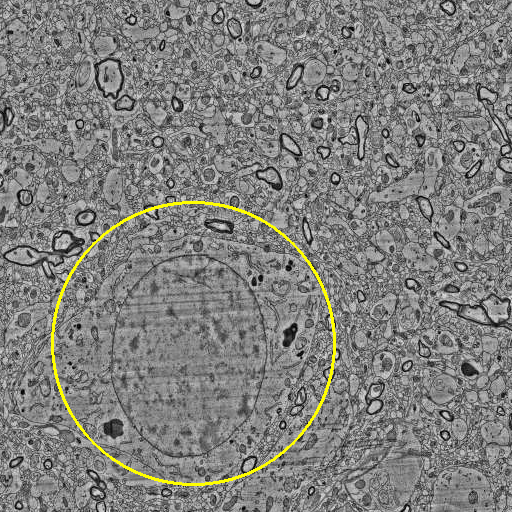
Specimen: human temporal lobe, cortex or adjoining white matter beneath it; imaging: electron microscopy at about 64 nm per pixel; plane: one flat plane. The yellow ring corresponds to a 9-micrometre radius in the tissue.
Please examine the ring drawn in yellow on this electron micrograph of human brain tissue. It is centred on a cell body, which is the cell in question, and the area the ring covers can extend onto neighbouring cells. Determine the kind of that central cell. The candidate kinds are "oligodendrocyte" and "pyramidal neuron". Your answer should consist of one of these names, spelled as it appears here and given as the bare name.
pyramidal neuron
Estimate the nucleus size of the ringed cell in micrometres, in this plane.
About 13 by 10 micrometers for the nucleus, in this plane.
